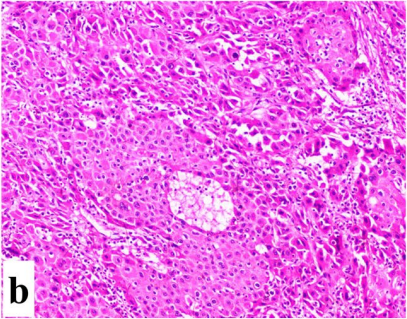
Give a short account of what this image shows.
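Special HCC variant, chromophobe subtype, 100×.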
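Polygonal tumour cells form broad sheets. The cytoplasm is mostly pink, with a rounded group of cells with clear cytoplasm in the centre. Thin strands of spindle-celled stroma run between the sheets.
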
